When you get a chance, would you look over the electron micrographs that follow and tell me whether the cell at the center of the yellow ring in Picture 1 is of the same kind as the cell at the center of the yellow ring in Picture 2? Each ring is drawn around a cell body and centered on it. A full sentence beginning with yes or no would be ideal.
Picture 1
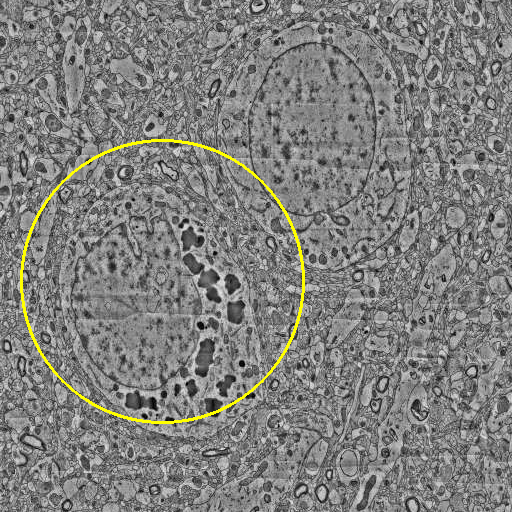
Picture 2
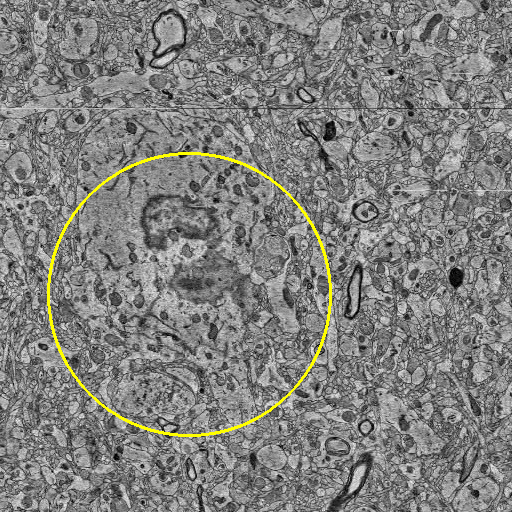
No, they are two kinds of cell.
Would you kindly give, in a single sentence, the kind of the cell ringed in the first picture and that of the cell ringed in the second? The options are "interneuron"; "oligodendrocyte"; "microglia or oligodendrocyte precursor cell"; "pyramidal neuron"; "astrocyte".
The second cell is an oligodendrocyte, and the first cell is an interneuron.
